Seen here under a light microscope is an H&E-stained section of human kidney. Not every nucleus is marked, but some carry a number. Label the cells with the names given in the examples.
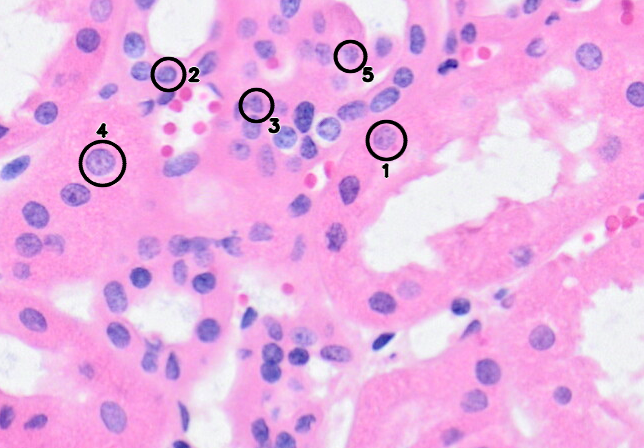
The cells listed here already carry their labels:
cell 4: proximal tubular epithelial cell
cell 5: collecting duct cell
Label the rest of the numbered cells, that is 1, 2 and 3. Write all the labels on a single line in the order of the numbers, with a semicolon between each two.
proximal tubular epithelial cell; collecting duct cell; collecting duct cell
